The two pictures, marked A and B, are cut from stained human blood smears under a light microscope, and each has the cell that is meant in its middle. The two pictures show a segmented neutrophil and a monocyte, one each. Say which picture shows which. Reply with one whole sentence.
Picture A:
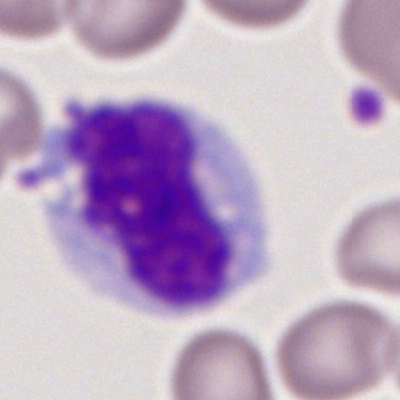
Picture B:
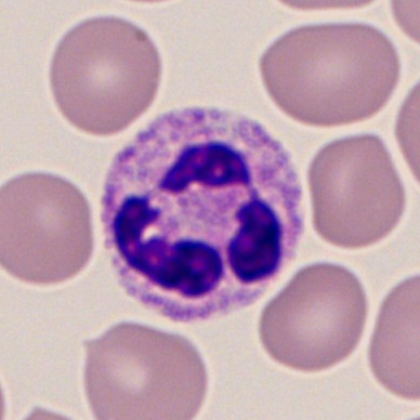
Picture A shows a monocyte and picture B shows a segmented neutrophil.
